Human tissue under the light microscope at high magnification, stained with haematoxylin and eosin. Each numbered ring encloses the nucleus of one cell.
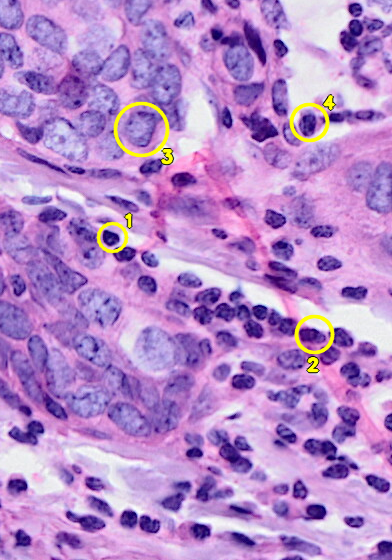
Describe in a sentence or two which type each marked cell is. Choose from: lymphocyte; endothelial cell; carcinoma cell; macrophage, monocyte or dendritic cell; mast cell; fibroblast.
Cell 1 is a lymphocyte, cell 2 is a lymphocyte, cell 3 is a carcinoma cell and cell 4 is a lymphocyte.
